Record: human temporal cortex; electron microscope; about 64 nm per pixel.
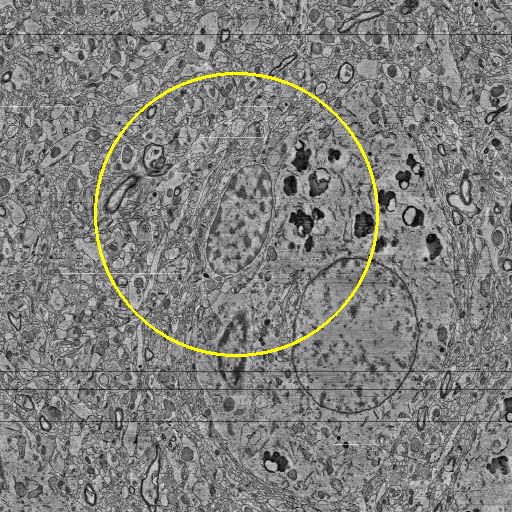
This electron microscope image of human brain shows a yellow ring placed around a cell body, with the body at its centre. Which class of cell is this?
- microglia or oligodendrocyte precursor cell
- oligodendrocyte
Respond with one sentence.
The cell body at the ring's centre is a microglial cell or oligodendrocyte precursor cell.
